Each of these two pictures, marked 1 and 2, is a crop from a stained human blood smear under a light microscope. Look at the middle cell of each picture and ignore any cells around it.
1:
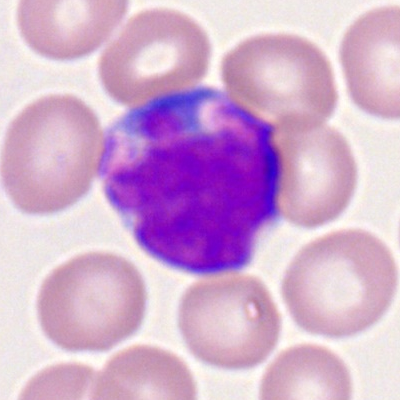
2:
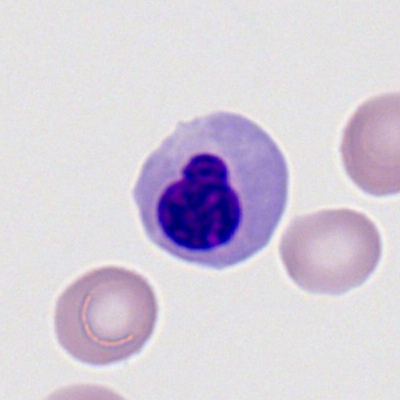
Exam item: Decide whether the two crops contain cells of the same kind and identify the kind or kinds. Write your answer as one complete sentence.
No, crop 1 and crop 2 contain, respectively, a myeloblast and a normoblast.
